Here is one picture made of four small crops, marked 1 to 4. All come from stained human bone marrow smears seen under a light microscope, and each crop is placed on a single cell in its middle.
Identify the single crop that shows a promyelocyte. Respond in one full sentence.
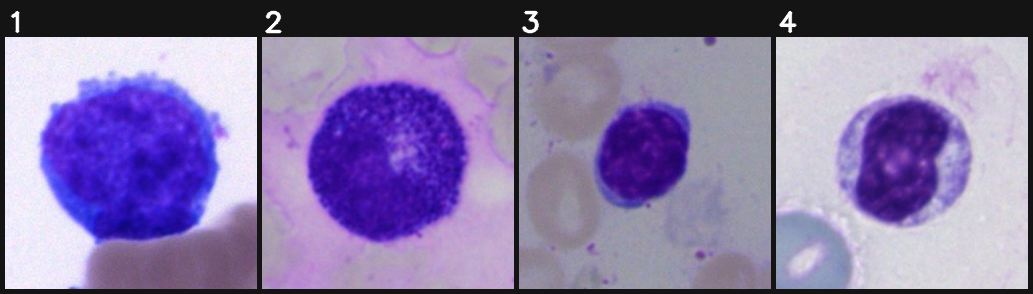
Of the crops given, a promyelocyte is found in crop 2.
